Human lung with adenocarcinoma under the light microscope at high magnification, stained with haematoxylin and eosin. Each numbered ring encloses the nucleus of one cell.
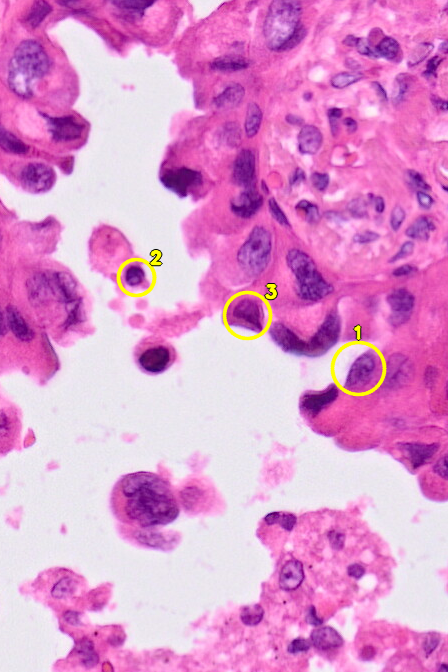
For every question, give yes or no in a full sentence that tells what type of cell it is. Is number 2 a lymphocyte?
Yes, the cell sitting at number 2 is a lymphocyte.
